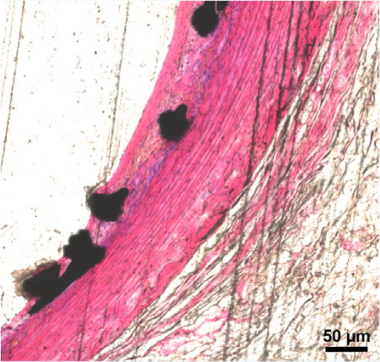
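An enlarged view of a stented artery wall, with irregular black stent strut profiles set along the inner edge of a band of densely pink, wavy, layered tissue. Outside this band the tissue is pale and loose, with thin fibres running parallel to the wall.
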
